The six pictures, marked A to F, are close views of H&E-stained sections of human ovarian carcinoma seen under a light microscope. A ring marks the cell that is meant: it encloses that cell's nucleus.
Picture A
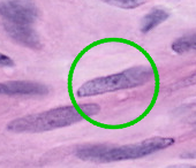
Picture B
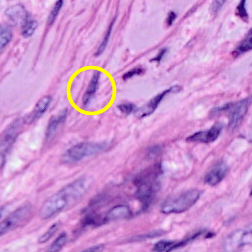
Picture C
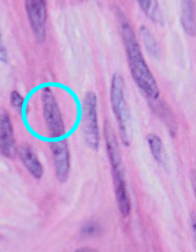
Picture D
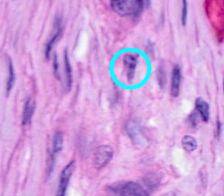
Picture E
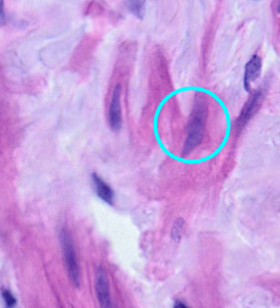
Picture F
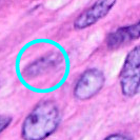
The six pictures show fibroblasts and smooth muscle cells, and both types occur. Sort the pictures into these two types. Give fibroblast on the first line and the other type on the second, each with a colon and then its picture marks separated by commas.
fibroblast: B, D, F
smooth muscle cell: A, C, E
